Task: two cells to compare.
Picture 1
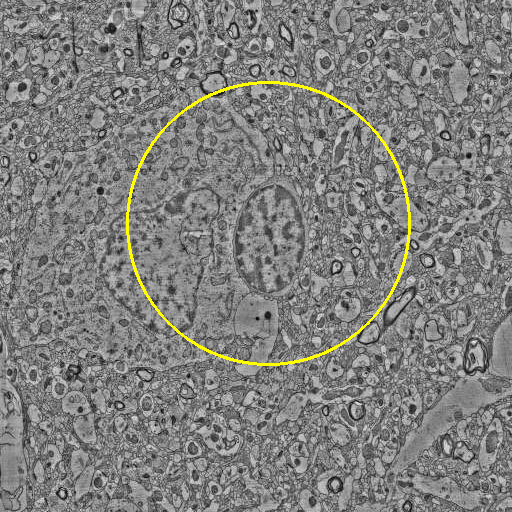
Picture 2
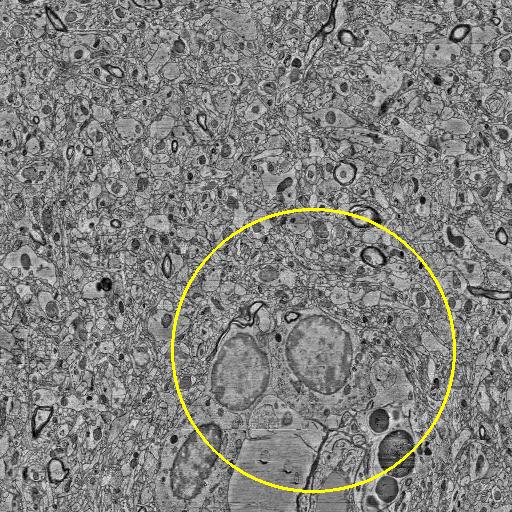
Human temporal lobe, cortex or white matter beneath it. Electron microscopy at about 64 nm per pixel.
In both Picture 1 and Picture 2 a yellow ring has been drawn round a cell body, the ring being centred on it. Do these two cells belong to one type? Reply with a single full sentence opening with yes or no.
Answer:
Yes, the two cells at the ring centres in Picture 1 and Picture 2 share one type.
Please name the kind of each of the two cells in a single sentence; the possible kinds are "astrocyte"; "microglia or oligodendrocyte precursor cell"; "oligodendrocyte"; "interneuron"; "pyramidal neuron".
Each of the two rings is centred on an oligodendrocyte.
